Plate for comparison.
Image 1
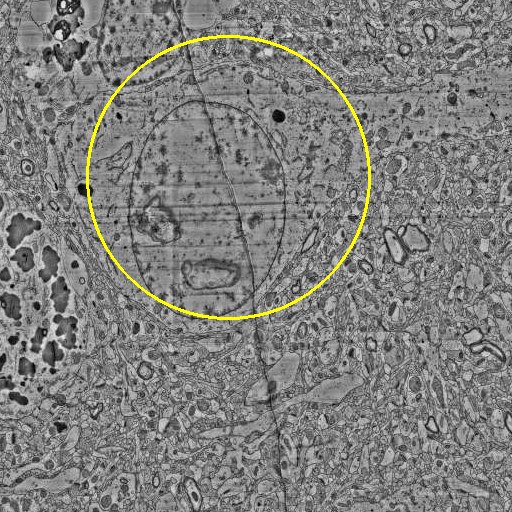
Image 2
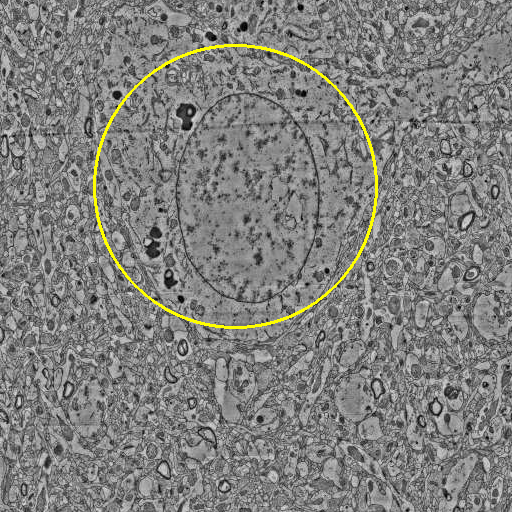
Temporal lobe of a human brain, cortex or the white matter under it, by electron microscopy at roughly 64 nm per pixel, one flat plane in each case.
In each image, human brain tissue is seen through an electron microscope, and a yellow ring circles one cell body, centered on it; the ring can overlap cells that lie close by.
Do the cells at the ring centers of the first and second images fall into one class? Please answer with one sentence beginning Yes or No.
Yes, the first and second images show a single class of cell at the ring centers.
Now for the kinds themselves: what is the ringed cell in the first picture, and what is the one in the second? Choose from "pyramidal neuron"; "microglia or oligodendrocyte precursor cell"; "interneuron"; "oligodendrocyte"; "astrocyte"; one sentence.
In each of the two pictures, the ringed cell is a pyramidal neuron.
